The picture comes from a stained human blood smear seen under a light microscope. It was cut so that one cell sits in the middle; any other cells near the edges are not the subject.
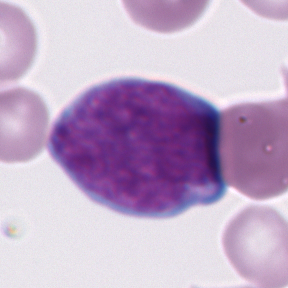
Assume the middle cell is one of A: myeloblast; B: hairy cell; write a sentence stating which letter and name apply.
The cell at the heart of the crop is a myeloblast, so choose option A.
